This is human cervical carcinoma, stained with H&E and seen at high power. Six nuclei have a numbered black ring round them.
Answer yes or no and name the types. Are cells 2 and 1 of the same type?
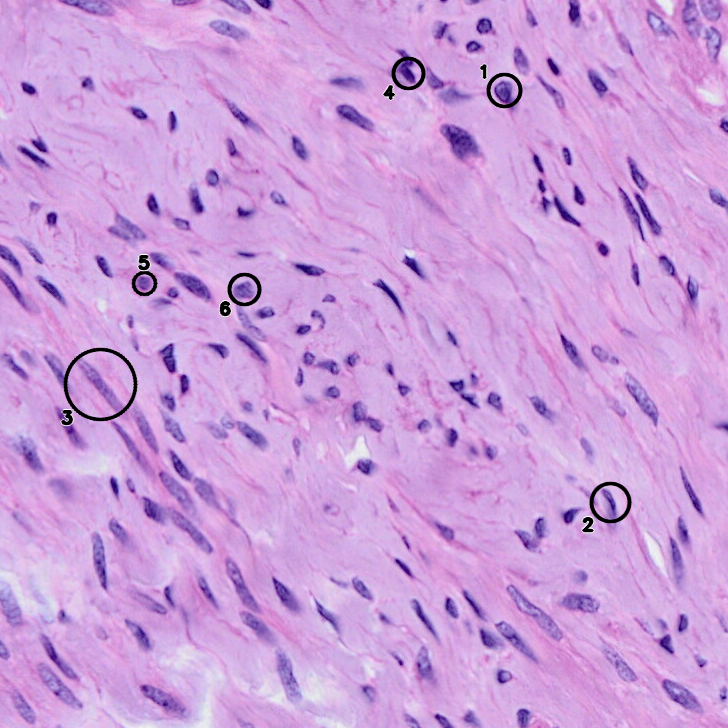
Yes, in terms of cell type, cells 2 and 1 are both fibroblasts.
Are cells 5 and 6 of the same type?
No, cell 5 is a smooth muscle cell, and cell 6 is, by contrast, a fibroblast.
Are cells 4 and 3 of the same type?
No, not so; cell 4 is a fibroblast and cell 3 is a smooth muscle cell.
